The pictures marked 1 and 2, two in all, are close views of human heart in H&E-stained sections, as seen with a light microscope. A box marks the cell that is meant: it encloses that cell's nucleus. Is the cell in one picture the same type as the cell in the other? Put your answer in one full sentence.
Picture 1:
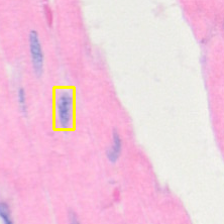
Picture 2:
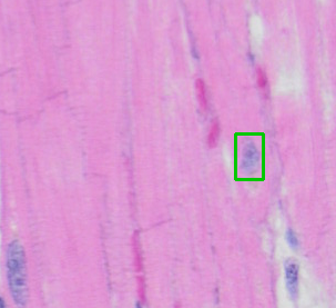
No; the cell in picture 1 is an endothelial cell, while the one in picture 2 is a cardiomyocyte.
